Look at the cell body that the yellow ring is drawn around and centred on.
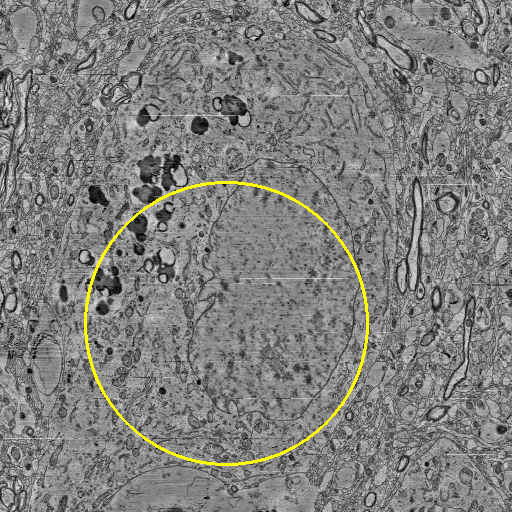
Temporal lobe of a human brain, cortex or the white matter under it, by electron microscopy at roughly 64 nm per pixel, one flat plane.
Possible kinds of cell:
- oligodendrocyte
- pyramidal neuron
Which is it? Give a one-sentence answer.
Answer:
The centred cell body is that of a pyramidal neuron.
